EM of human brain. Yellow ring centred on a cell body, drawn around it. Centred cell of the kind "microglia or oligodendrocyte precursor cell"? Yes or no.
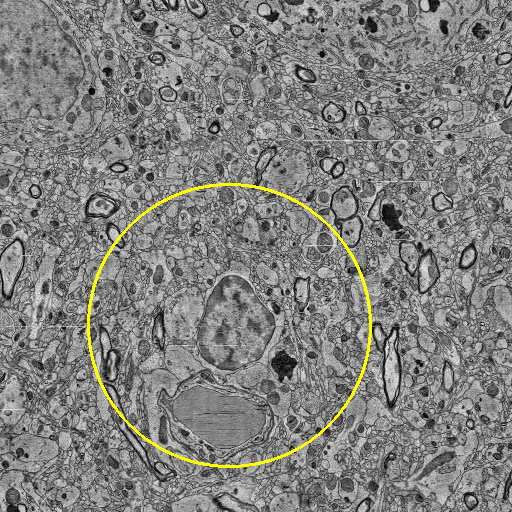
yes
